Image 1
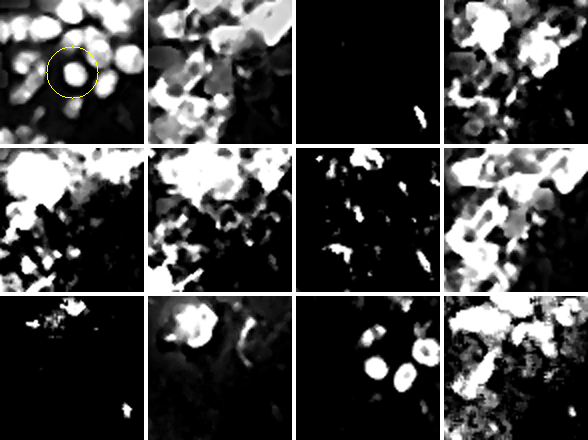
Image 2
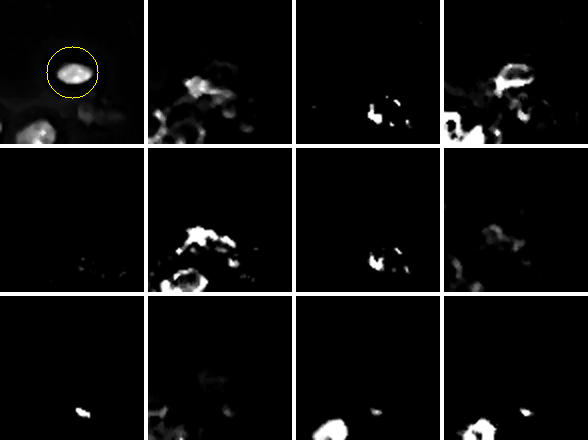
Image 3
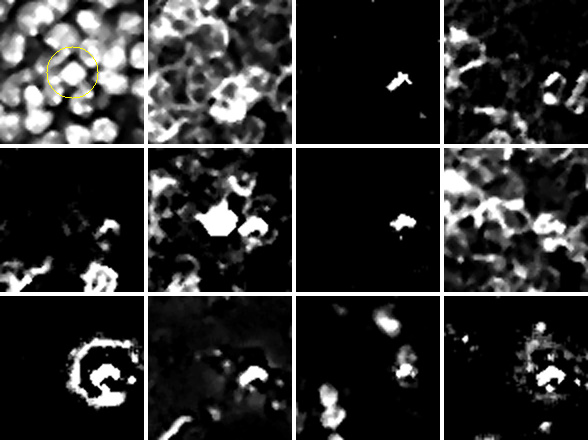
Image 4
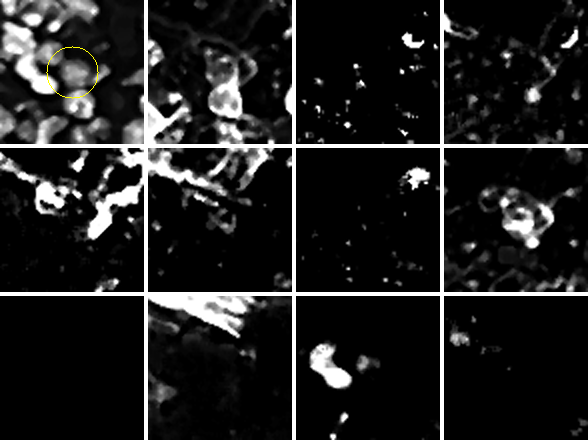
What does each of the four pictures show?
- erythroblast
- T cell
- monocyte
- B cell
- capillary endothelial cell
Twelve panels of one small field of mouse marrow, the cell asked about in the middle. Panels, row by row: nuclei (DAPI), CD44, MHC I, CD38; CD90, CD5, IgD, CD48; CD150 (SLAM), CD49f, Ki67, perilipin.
1. erythroblast
2. capillary endothelial cell
3. T cell
4. monocyte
